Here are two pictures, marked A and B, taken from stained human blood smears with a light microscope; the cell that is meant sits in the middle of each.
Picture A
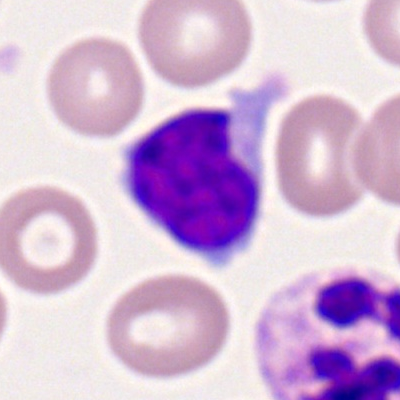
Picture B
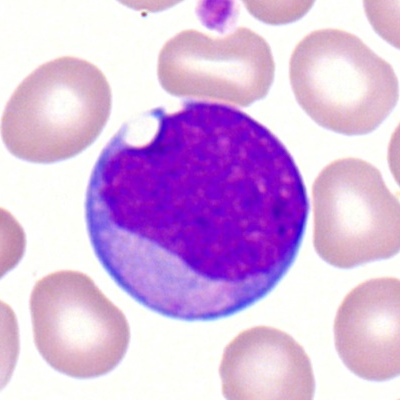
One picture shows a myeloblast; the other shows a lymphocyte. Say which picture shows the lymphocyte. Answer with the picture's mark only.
A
